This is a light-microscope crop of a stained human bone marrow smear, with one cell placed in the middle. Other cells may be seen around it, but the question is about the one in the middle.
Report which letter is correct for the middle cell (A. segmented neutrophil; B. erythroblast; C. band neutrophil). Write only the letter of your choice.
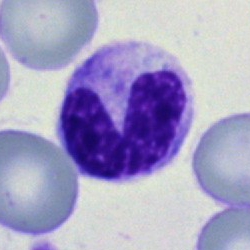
C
